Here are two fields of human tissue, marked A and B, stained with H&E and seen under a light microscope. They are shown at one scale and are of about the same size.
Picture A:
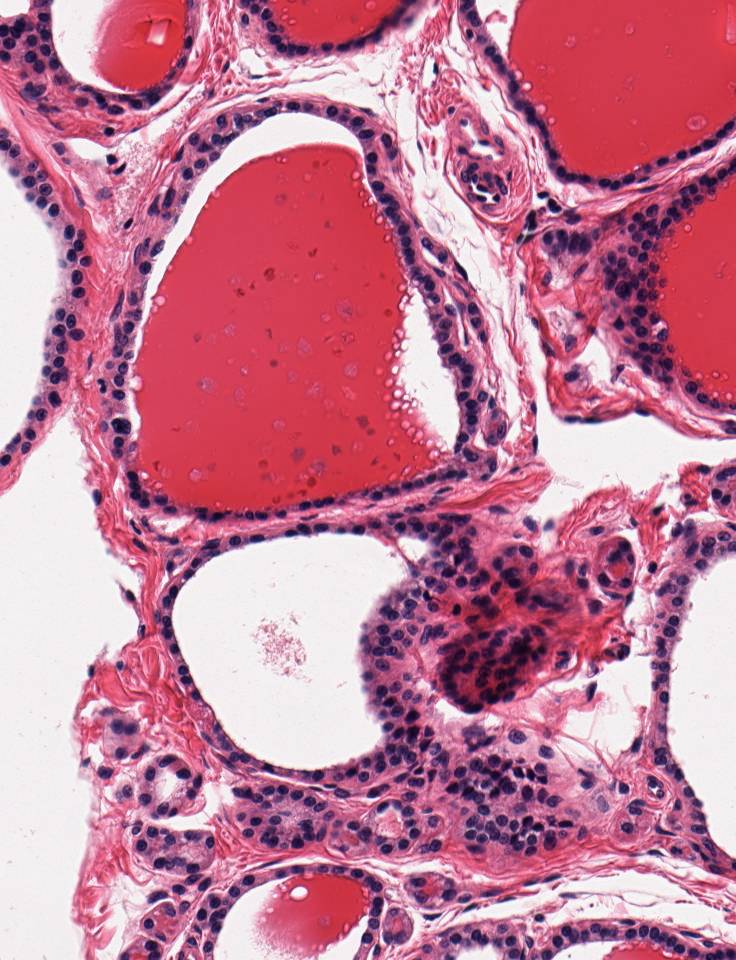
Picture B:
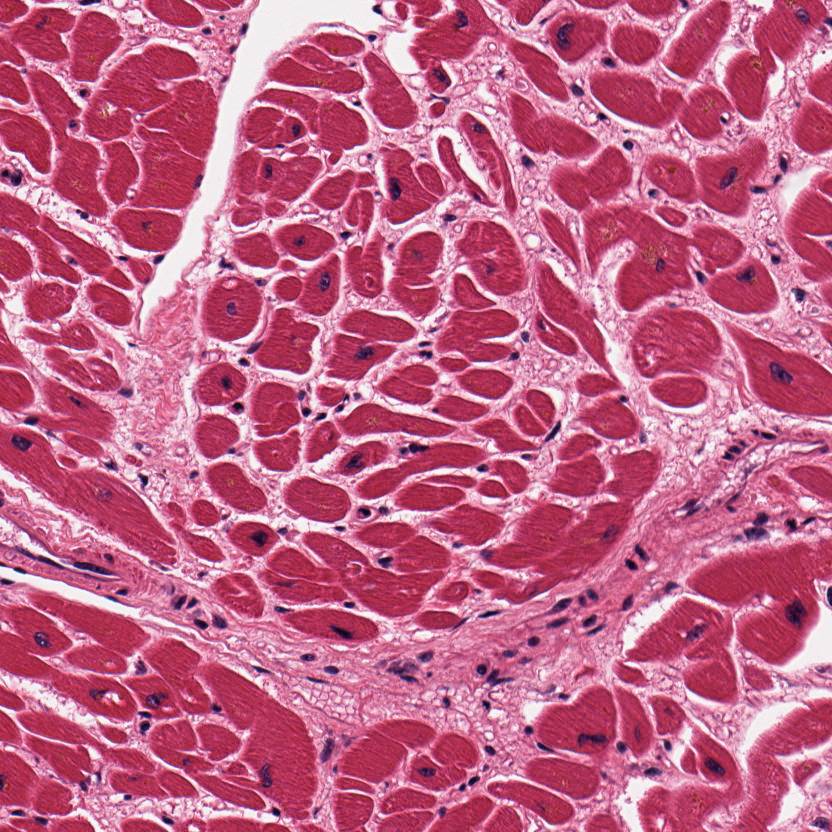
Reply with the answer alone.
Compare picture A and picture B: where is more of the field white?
A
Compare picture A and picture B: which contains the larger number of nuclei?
A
